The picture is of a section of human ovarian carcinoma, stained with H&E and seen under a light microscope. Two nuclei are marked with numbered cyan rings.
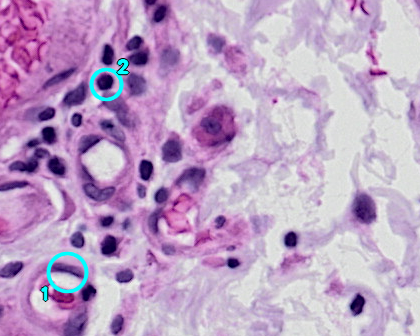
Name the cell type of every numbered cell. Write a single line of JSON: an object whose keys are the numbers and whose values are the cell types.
{"1": "endothelial cell", "2": "lymphocyte"}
